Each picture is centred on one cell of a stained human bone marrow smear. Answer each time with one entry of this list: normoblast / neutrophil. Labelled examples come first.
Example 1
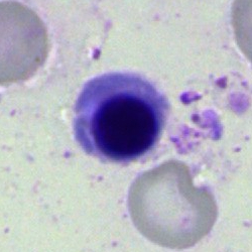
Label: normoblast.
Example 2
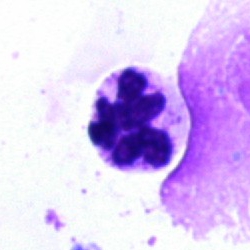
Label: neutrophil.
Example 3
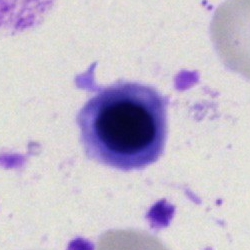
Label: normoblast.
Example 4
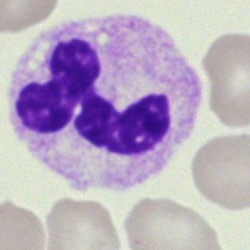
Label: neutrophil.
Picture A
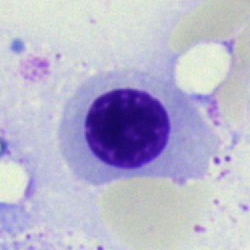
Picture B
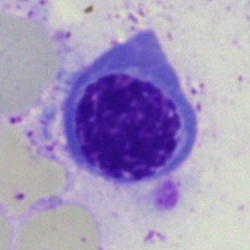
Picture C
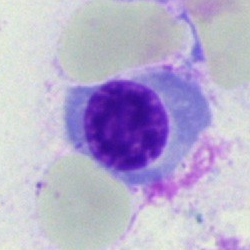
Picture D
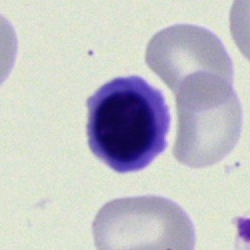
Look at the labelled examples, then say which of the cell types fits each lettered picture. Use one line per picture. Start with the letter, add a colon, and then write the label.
A: normoblast.
B: normoblast.
C: normoblast.
D: normoblast.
